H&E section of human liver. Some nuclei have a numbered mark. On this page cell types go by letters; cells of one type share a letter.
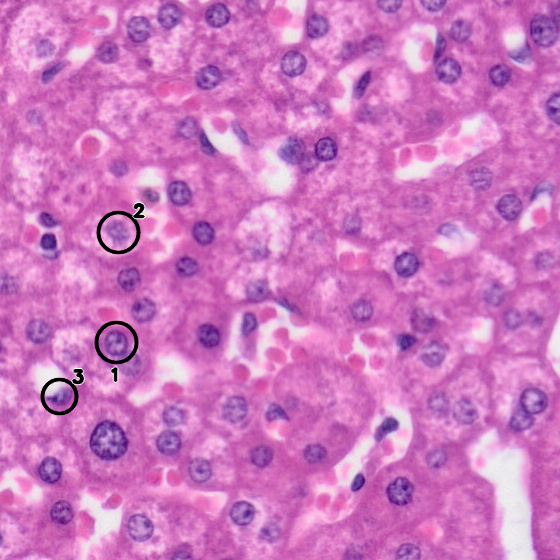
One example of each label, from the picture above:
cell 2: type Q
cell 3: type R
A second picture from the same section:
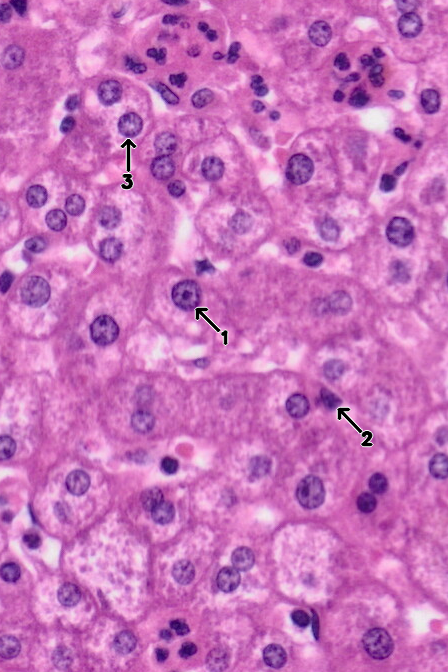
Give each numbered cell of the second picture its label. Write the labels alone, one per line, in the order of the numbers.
type Q
type R
type Q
